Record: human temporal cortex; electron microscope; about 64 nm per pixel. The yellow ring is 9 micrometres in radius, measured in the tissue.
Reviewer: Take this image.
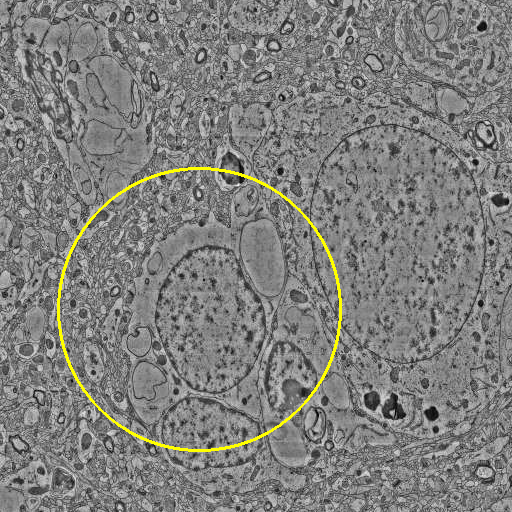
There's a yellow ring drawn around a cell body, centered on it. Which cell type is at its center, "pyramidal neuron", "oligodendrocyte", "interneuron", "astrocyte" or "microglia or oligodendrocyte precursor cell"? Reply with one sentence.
At the center of the yellow ring is an astrocyte.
